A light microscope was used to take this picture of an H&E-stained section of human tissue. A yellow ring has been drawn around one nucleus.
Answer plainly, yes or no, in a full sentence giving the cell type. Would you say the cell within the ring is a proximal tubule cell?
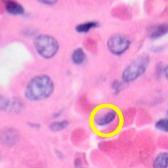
No, the cell within the ring is recognized as an endothelial cell rather than a proximal tubule cell.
